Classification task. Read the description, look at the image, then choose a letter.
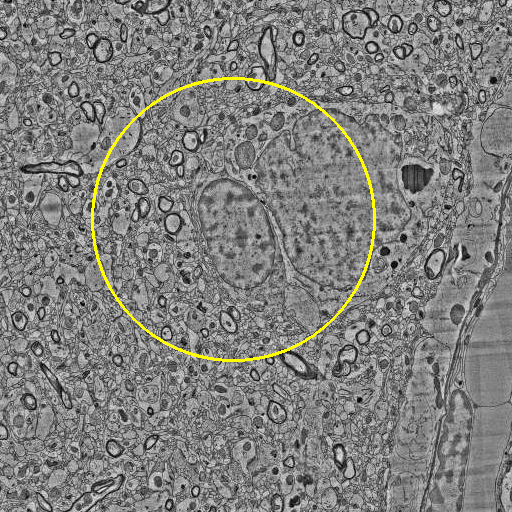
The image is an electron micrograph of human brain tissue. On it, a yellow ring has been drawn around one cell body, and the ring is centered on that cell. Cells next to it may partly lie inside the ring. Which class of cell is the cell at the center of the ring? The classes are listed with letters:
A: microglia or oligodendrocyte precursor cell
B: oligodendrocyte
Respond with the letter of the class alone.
B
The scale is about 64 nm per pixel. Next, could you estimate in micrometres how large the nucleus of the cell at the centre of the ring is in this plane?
In this plane, approximately 7 by 4 micrometers, and clearly longer than it is wide.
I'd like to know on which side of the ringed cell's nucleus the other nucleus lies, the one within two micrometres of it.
That other nucleus is to the upper right of it.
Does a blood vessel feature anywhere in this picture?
Yes, a blood vessel is present in this picture.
